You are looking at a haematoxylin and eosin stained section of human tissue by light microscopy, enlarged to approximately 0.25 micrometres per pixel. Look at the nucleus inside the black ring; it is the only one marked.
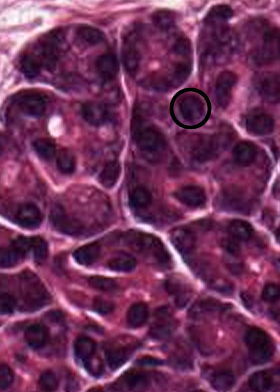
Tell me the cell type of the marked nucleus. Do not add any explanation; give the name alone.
pancreatic acinar cell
